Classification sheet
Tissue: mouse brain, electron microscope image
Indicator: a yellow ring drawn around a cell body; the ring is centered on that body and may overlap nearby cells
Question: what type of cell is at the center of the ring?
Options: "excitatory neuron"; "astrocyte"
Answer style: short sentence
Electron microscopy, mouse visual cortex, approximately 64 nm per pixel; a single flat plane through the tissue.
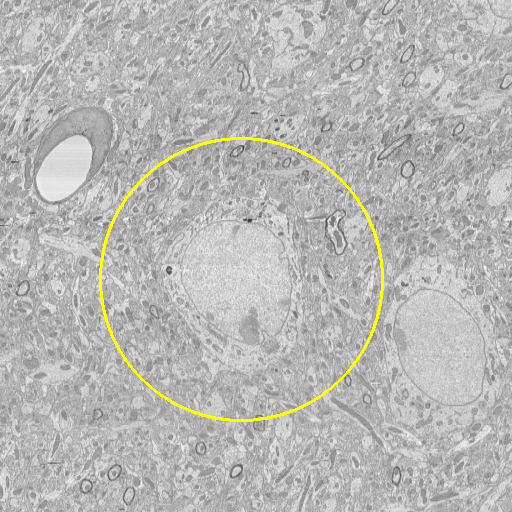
At the ring's center is an excitatory neuron.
